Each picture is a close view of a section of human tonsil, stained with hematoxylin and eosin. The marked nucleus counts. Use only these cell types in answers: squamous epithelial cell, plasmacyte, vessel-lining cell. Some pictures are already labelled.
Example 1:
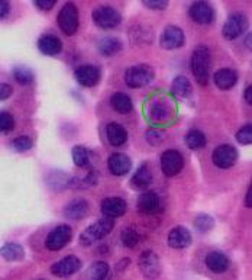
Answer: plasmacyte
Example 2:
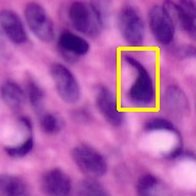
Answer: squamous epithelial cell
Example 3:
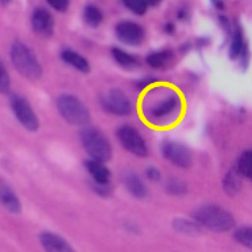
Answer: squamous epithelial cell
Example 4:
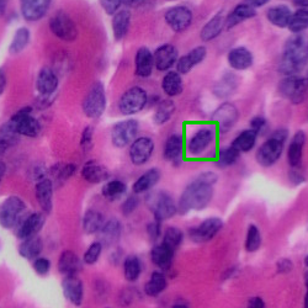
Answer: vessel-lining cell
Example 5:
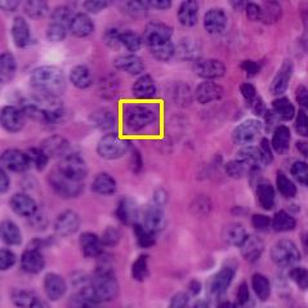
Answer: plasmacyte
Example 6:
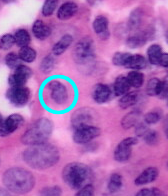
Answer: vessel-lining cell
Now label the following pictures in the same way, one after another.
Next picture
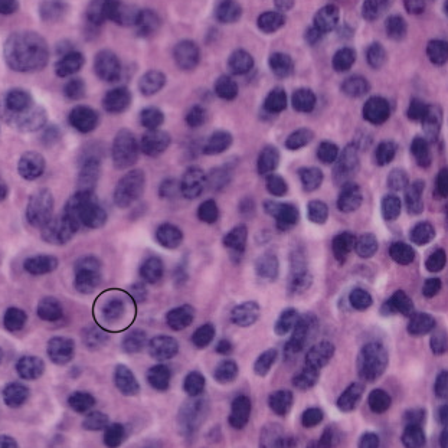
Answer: plasmacyte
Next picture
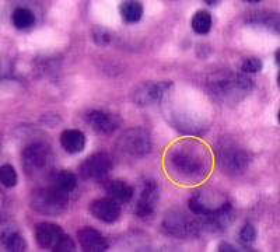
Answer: squamous epithelial cell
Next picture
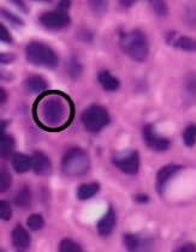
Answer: squamous epithelial cell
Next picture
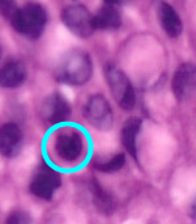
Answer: squamous epithelial cell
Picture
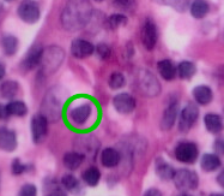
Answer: vessel-lining cell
